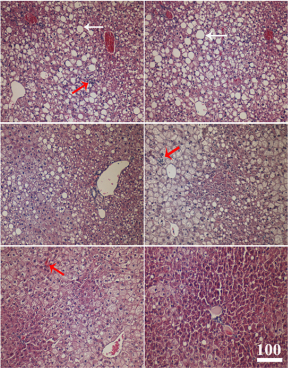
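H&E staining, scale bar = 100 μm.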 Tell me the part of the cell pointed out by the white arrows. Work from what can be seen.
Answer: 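The white arrows point at round, empty-looking clear vacuoles within the tissue. Many such clear round vacuoles of varying size fill the hepatocytes in the upper rows. So: lipid droplet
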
